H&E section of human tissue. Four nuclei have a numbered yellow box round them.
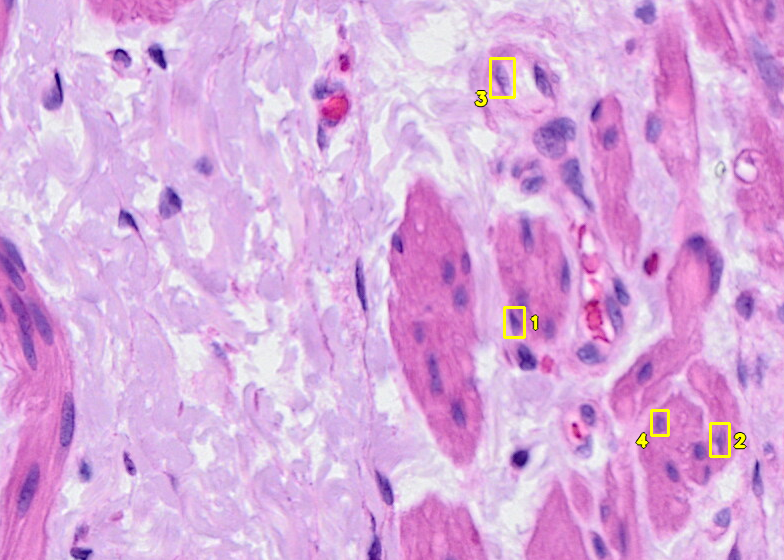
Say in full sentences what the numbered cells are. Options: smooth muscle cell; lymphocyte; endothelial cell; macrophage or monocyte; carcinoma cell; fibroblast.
Cell 1 is a smooth muscle cell, cell 2 is a smooth muscle cell, cell 3 is an endothelial cell and cell 4 is a smooth muscle cell.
